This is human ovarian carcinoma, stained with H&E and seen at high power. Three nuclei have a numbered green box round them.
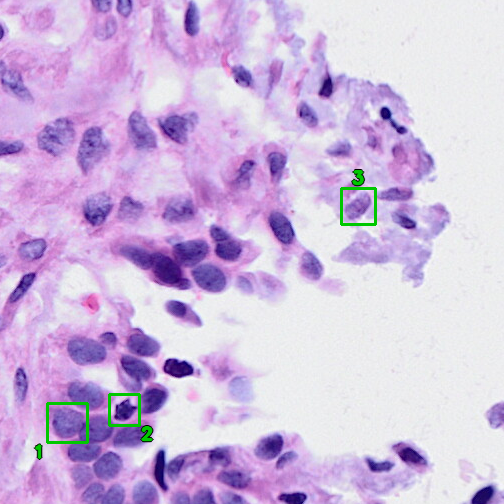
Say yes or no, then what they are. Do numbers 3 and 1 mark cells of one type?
No, listen: cell 3 is a fibroblast and cell 1 is a carcinoma cell.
